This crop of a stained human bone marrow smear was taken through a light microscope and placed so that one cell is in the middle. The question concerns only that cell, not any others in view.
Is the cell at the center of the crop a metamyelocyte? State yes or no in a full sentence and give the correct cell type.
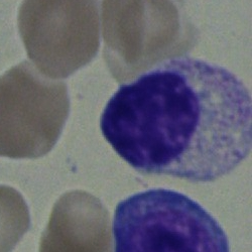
No, the centered cell is a myelocyte and not a metamyelocyte at all.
